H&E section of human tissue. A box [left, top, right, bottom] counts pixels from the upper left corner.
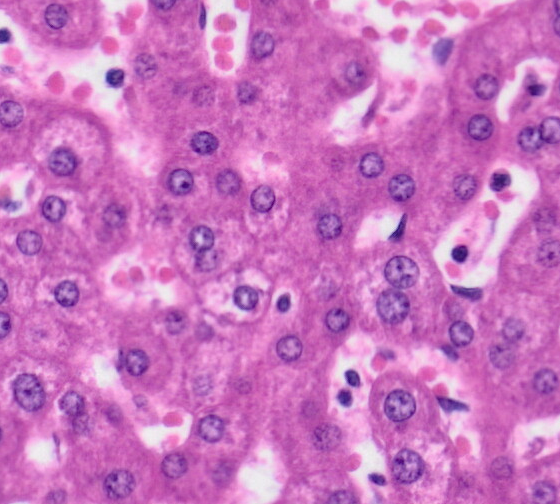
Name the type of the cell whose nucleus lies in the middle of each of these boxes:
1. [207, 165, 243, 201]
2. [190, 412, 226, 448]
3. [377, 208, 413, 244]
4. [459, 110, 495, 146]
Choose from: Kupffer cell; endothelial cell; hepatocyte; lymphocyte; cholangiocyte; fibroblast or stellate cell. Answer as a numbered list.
1. hepatocyte
2. hepatocyte
3. endothelial cell
4. hepatocyte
